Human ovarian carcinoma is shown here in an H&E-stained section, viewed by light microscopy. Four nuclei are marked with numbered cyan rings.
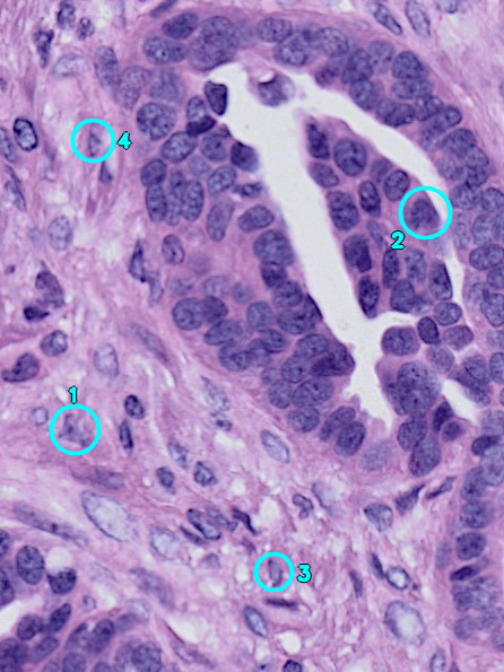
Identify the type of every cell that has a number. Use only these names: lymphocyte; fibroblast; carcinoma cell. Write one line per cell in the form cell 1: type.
cell 1: fibroblast
cell 2: carcinoma cell
cell 3: fibroblast
cell 4: fibroblast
